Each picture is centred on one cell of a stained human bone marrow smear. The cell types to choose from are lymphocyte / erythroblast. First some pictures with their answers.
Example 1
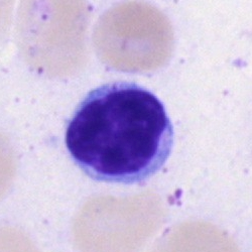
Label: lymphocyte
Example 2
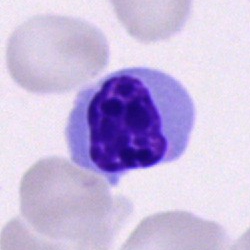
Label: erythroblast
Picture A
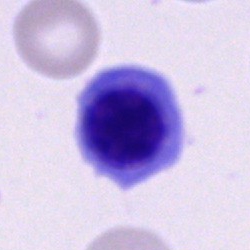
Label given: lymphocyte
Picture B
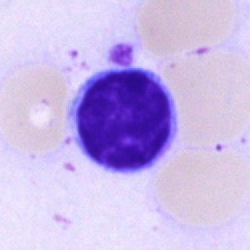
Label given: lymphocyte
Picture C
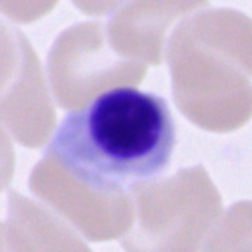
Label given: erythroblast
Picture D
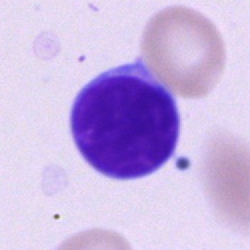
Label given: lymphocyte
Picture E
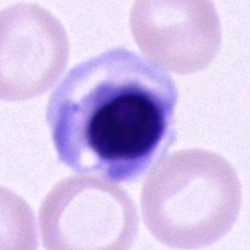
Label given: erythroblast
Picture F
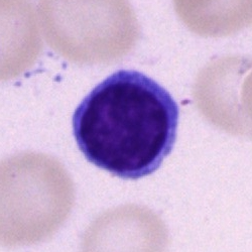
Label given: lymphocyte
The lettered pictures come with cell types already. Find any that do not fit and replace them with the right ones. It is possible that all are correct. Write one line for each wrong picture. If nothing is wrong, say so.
A is labelled lymphocyte; correct label: erythroblast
